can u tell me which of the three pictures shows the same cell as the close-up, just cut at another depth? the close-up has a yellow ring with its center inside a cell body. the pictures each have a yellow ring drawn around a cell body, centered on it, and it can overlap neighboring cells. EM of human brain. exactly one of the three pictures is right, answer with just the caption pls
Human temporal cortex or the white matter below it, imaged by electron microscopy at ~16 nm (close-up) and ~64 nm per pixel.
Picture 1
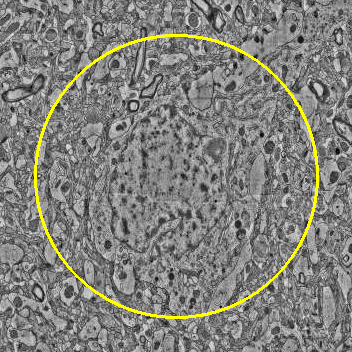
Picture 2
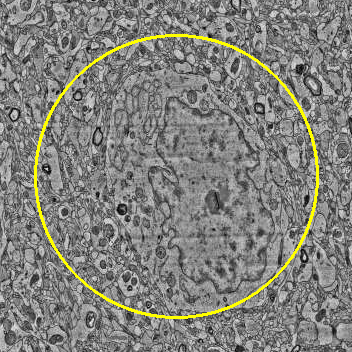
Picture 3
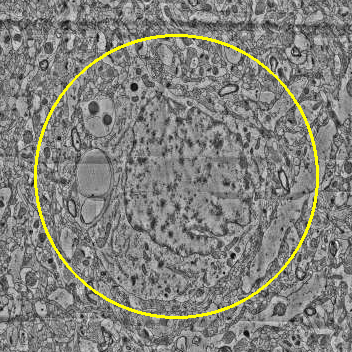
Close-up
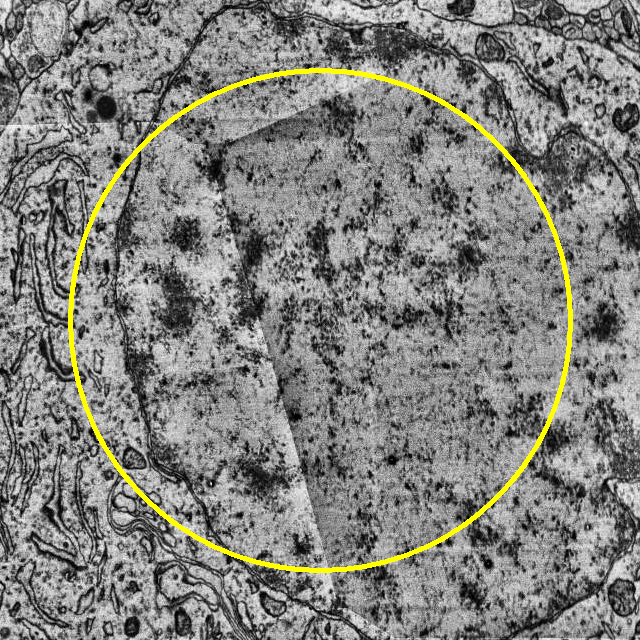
Picture 3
